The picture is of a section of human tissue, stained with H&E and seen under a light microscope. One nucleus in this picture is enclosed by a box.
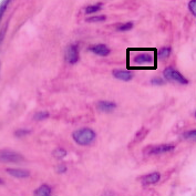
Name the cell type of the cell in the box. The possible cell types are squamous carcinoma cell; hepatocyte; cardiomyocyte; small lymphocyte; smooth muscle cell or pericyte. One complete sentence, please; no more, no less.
The expected answer is simply that the cell in the box is a smooth muscle cell or pericyte.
